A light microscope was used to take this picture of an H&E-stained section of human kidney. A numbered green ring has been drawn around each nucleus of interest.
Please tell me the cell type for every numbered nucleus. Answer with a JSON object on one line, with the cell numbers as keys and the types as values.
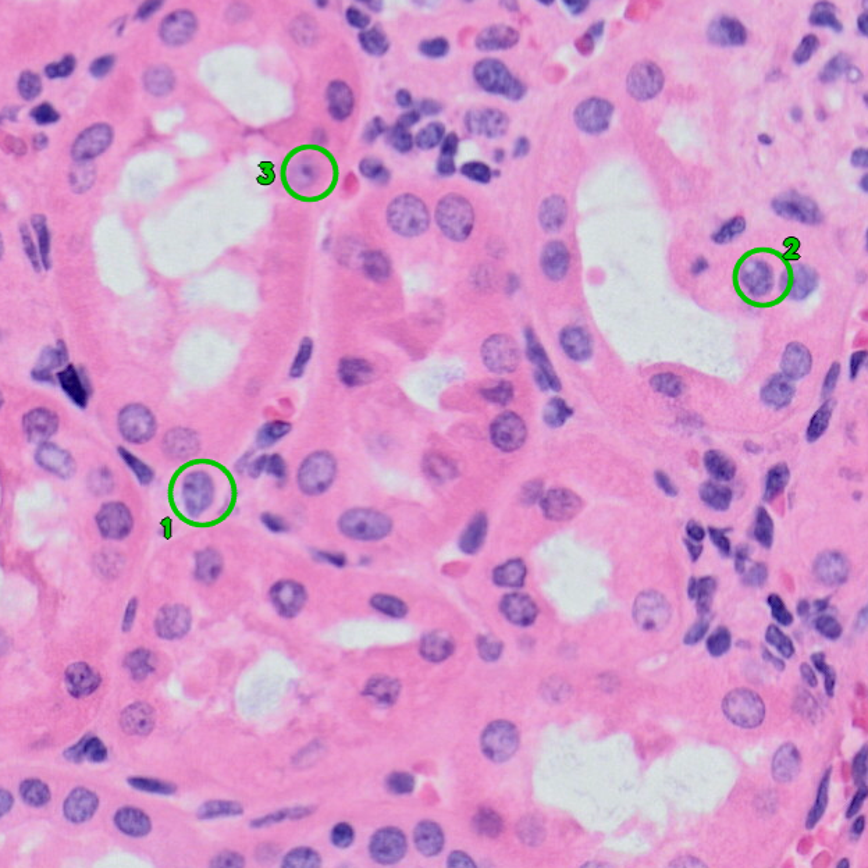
{"1": "collecting duct cell", "2": "loop of Henle or distal tubule cell", "3": "proximal tubule cell"}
